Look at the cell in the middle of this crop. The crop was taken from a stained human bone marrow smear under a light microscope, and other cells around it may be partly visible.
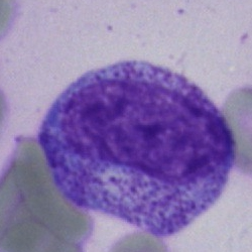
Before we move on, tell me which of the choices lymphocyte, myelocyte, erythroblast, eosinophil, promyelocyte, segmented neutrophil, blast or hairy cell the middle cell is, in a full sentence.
Here the cell in the middle is a myelocyte.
